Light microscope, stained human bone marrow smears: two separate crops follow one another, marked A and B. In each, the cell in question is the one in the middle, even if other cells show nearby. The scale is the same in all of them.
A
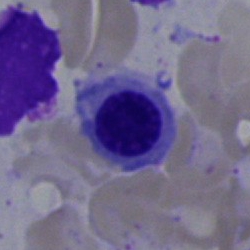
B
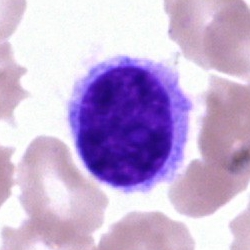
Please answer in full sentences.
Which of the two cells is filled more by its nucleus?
In picture B the nucleus takes up the larger part of its cell.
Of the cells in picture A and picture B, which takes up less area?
The cell in picture A is smaller; the one in picture B has about 2 times its area.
